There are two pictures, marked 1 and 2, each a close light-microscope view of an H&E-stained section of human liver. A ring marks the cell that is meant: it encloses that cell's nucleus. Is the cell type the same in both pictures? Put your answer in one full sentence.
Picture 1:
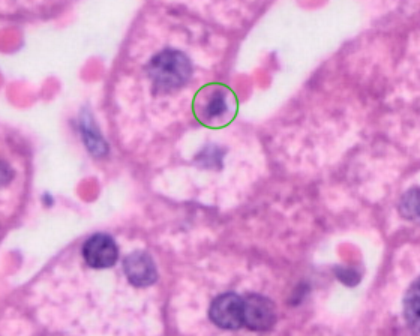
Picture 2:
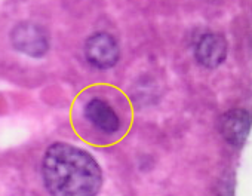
Yes; the cells in both pictures are “fibroblasts or stellate cells”.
